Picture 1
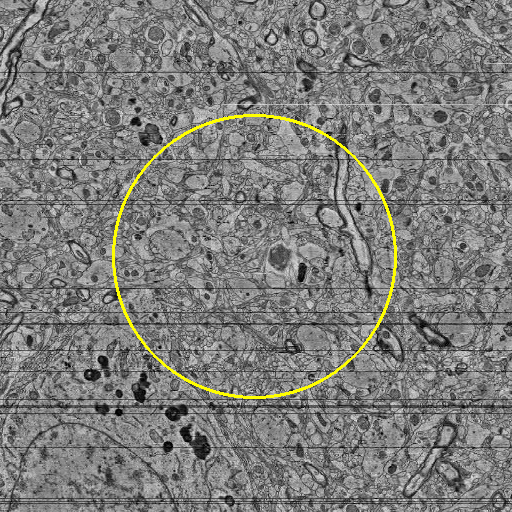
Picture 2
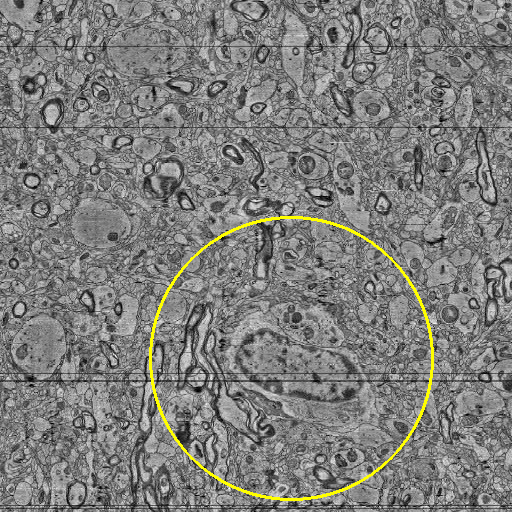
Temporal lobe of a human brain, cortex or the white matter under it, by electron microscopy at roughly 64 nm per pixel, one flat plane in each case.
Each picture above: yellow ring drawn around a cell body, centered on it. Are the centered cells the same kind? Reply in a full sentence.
Yes, the two cells are the same kind.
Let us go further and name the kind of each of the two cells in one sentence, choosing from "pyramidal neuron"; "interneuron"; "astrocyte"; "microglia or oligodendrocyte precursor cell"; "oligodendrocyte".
In both pictures the ring is centred on a microglial cell or oligodendrocyte precursor cell.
